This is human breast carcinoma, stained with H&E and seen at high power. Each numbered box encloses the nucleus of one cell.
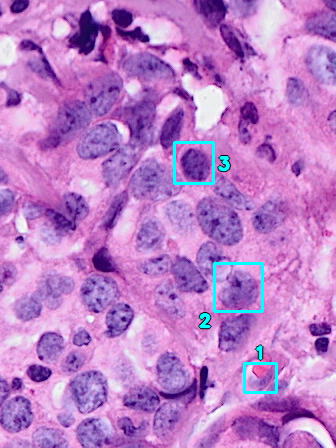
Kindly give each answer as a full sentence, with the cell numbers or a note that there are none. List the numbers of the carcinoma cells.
The cells carrying labels 2 and 3 are carcinoma cells.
